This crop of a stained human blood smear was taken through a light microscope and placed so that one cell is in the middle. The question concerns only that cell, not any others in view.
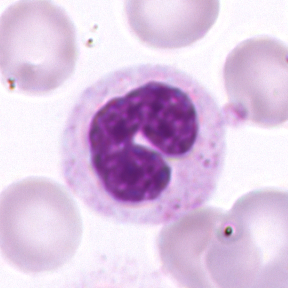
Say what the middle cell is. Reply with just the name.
band neutrophil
